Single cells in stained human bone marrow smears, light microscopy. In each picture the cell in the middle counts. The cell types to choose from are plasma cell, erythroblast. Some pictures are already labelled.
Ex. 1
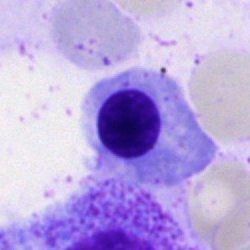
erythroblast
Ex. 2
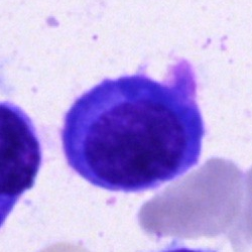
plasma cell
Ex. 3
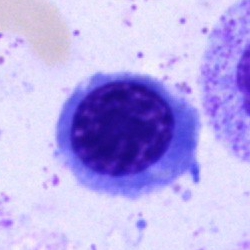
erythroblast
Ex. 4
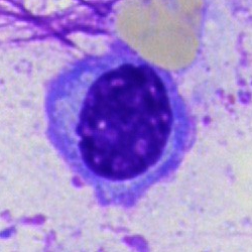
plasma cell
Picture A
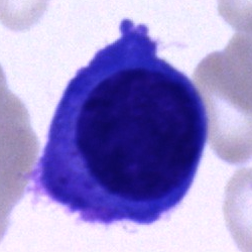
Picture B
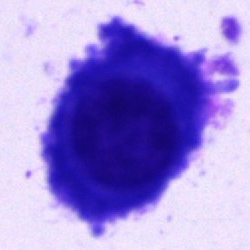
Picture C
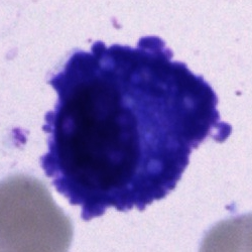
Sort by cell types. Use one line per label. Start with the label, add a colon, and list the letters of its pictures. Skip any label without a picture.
plasma cell: A, B, C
